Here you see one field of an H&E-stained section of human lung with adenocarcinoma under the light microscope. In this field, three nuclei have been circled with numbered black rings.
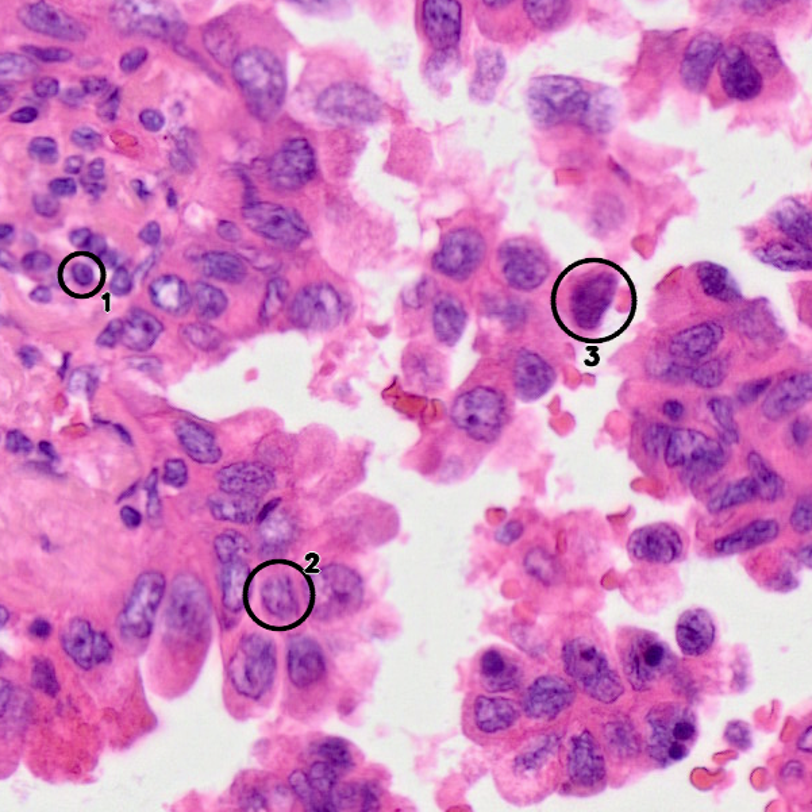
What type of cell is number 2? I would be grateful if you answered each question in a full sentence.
The one labeled 2 is a carcinoma cell, to put it simply.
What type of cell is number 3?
The cell referenced by the number 3 is a carcinoma cell in this field.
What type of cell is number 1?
The cell marked with number 1 is a lymphocyte.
